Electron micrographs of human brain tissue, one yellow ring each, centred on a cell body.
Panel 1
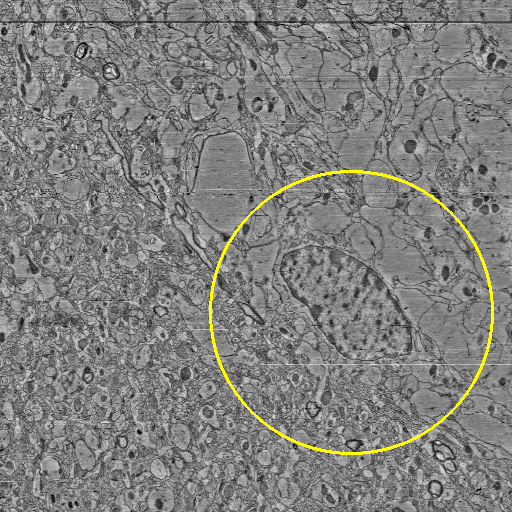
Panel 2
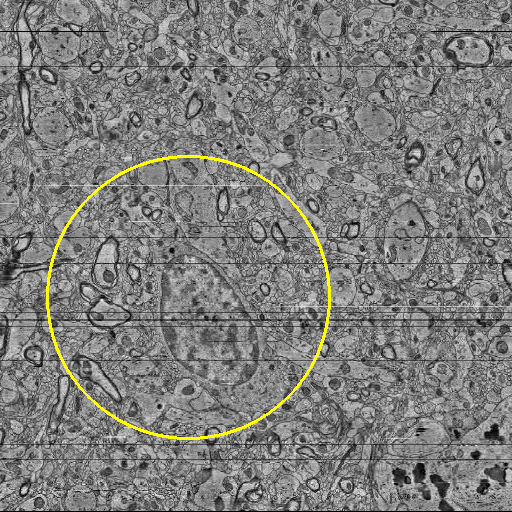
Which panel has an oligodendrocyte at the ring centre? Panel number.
2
